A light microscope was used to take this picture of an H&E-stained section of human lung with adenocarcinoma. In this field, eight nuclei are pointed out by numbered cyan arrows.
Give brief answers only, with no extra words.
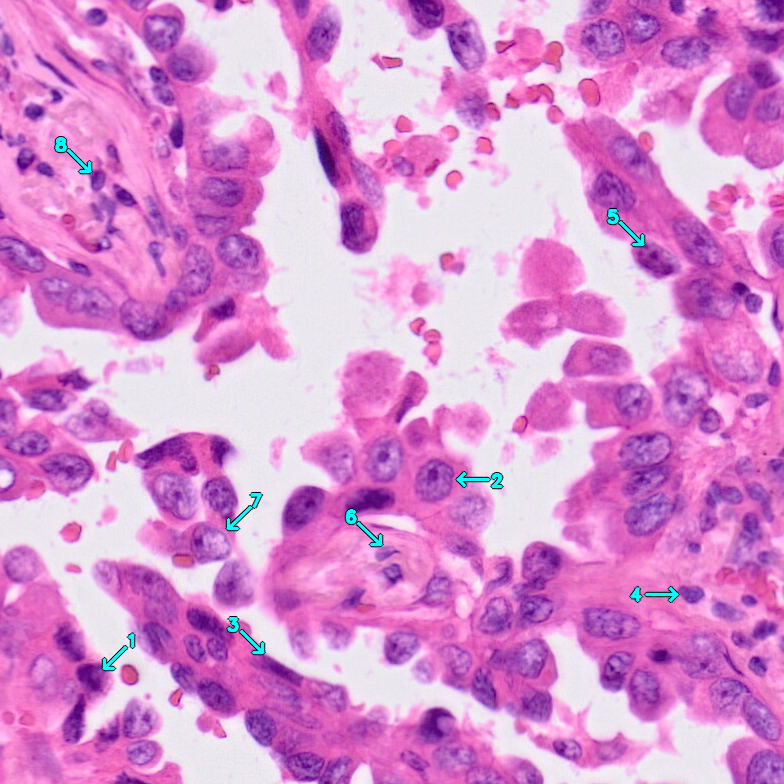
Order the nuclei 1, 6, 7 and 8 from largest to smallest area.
7, 1, 8, 6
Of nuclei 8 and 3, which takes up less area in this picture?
8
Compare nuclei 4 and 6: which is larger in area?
4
